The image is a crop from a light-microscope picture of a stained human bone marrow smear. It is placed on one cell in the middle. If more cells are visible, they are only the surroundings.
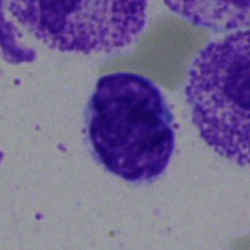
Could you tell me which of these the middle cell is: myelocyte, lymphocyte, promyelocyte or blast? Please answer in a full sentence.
Looking at the middle of the crop, the cell there is a lymphocyte.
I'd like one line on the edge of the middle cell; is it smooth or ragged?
The edge of the cell is unbroken and smooth, bearing no projections.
